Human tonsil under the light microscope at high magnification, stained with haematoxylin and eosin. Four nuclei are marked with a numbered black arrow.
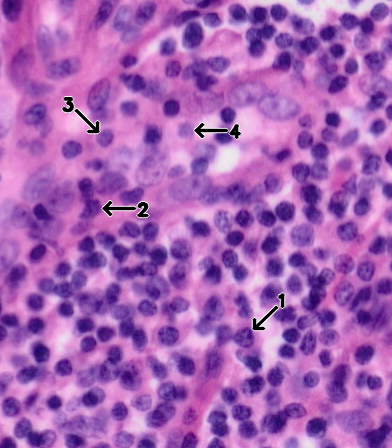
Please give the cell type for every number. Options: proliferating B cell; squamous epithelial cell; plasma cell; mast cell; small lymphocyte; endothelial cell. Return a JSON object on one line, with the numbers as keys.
{"1": "plasma cell", "2": "endothelial cell", "3": "endothelial cell", "4": "endothelial cell"}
